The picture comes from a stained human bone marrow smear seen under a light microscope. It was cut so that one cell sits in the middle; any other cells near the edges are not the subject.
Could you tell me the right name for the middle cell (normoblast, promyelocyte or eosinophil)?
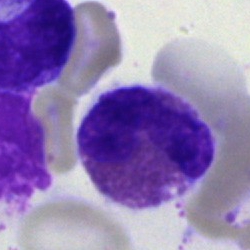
eosinophil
